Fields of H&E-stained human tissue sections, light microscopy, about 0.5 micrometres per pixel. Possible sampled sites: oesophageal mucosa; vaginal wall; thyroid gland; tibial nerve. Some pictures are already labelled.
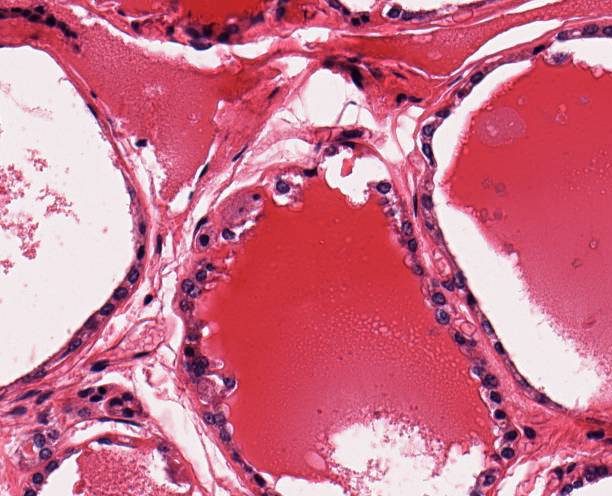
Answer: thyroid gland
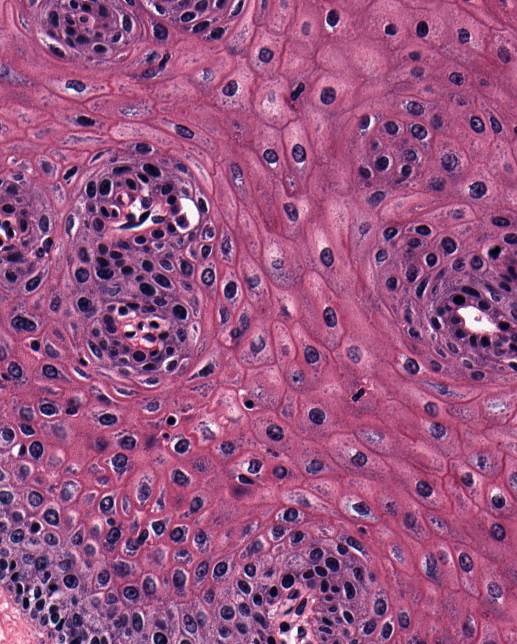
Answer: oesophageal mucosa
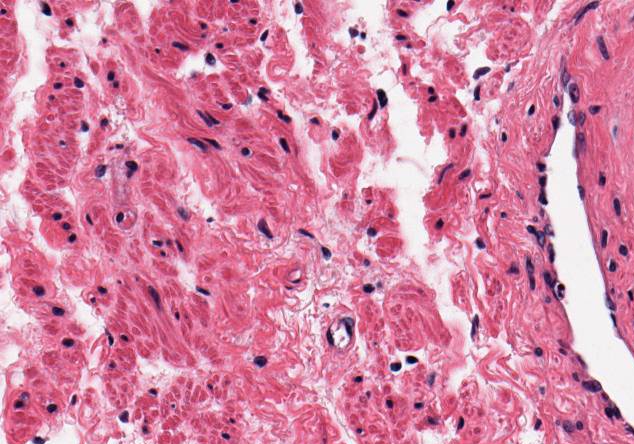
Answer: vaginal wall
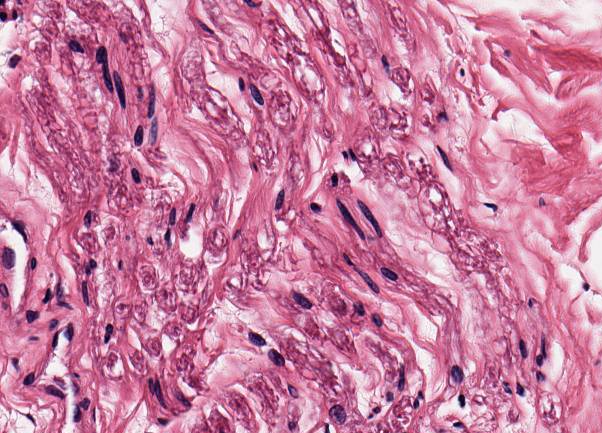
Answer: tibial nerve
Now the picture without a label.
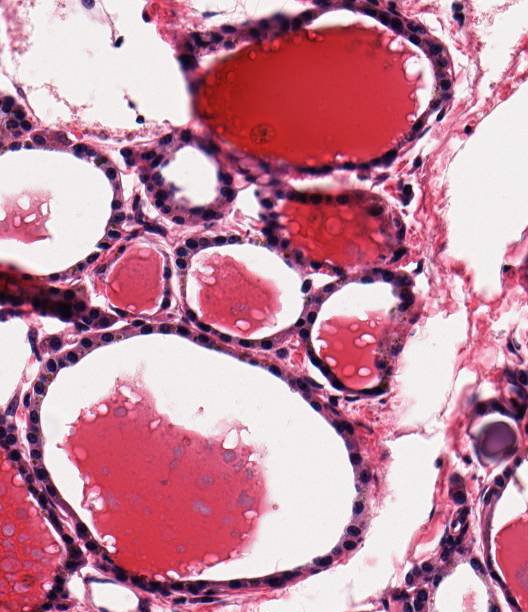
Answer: thyroid gland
